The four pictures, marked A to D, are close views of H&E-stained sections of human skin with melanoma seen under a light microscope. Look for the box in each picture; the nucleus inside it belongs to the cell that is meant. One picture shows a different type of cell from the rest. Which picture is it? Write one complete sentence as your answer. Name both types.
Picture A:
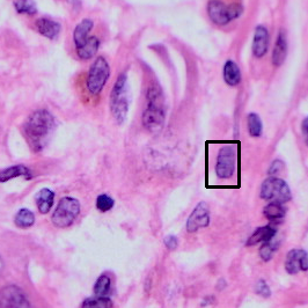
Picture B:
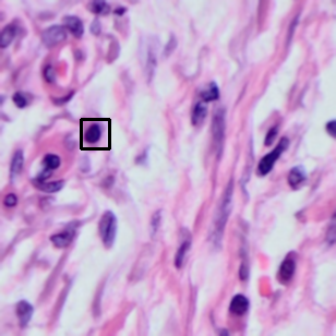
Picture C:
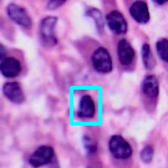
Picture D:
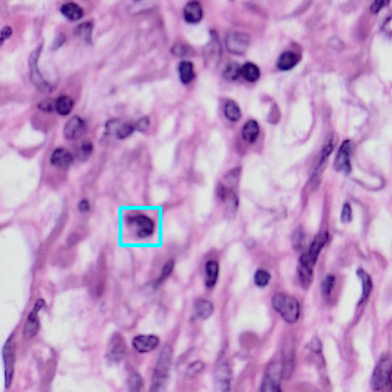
Unlike the rest, which show plasma cells, picture A shows a “macrophage or monocyte”.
